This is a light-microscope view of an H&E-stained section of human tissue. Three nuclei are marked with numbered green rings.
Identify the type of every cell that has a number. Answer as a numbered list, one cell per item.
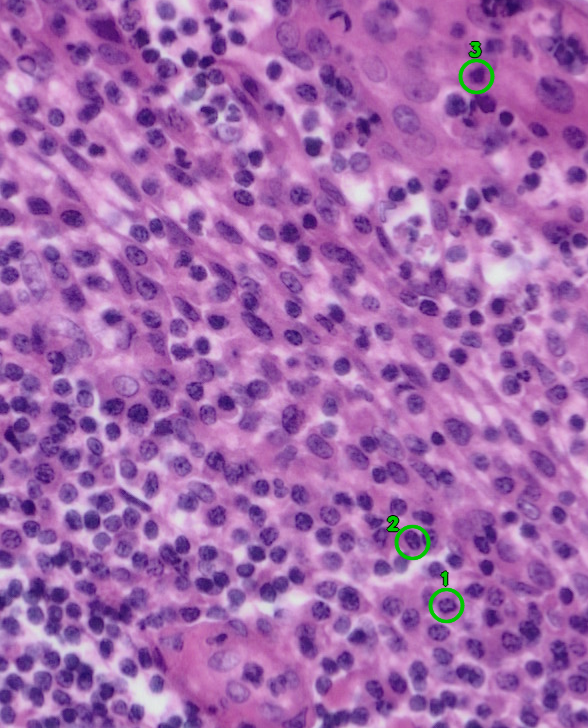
1. plasma cell
2. plasma cell
3. squamous epithelial cell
